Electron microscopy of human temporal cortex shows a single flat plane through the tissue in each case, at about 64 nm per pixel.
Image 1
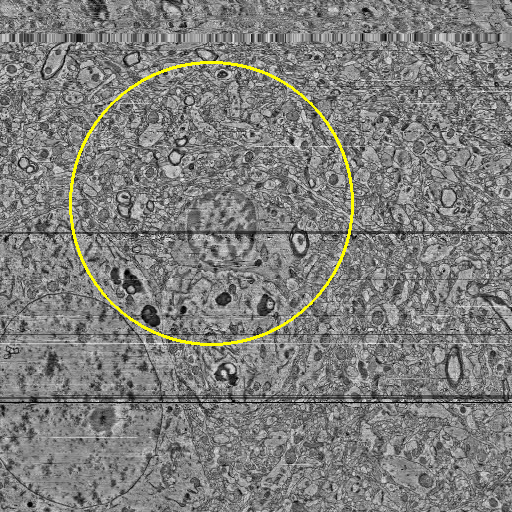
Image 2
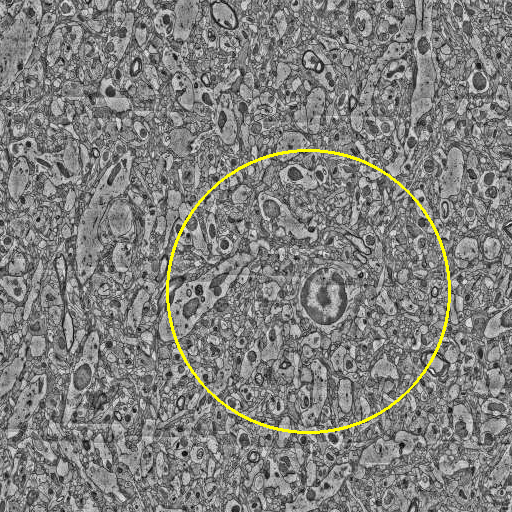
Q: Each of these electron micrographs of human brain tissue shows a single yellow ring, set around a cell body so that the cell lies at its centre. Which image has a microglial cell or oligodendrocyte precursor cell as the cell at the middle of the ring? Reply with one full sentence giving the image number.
In image 2, the cell lying at the ring's centre is the requested one.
